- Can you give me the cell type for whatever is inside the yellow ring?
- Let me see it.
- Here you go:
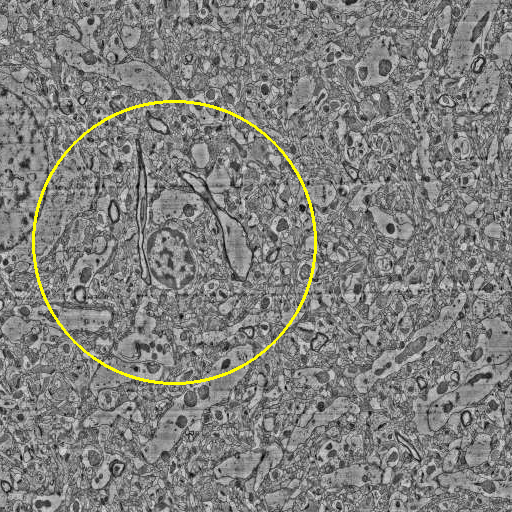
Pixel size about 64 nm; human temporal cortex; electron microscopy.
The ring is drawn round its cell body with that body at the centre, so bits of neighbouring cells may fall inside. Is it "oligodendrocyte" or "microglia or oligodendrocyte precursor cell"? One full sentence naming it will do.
The cell body in the middle of the ring in this picture belongs to a microglial cell or oligodendrocyte precursor cell.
